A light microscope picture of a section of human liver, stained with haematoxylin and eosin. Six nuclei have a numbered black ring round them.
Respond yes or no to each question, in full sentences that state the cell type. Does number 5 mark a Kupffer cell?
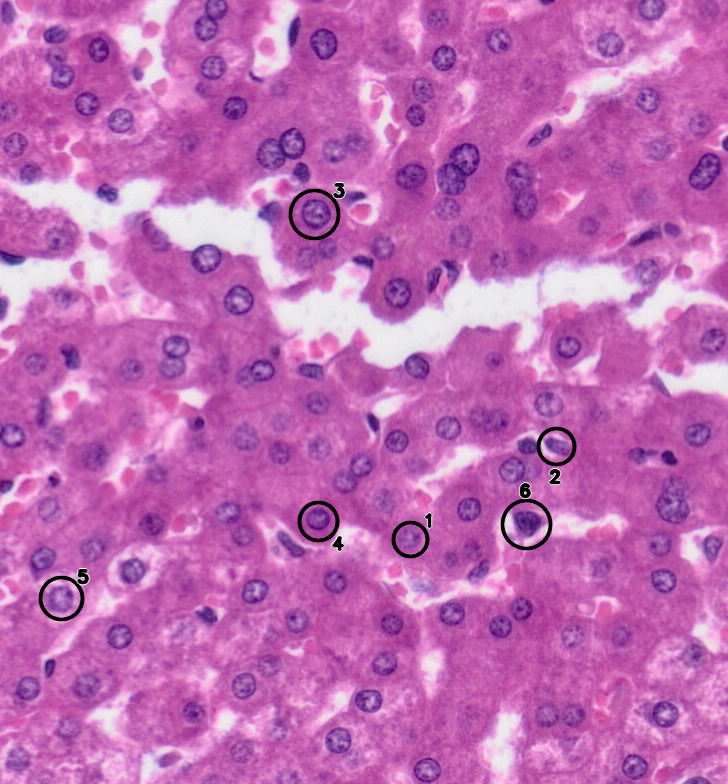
No, it is a hepatocyte that is marked with number 5, not a Kupffer cell.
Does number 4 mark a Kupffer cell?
No, it is not a Kupffer cell that bears number 4 but a hepatocyte.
